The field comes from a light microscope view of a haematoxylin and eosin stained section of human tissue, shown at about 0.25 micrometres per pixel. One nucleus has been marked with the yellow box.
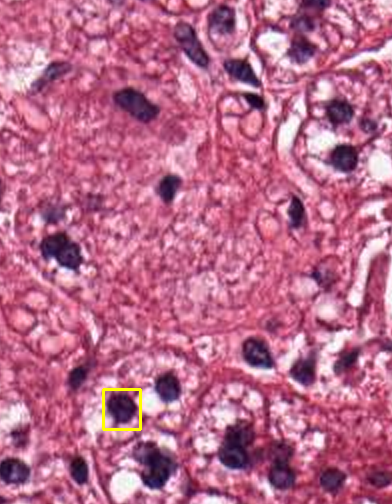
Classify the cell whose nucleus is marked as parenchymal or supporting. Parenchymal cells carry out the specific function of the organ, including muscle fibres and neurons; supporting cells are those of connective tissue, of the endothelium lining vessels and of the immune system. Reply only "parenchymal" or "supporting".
parenchymal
